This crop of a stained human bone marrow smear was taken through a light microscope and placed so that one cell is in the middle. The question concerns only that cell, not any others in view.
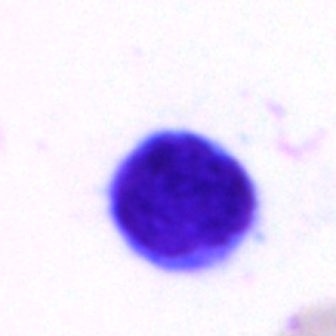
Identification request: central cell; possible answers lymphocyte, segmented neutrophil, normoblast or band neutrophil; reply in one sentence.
Framed in the middle of the crop is a lymphocyte.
